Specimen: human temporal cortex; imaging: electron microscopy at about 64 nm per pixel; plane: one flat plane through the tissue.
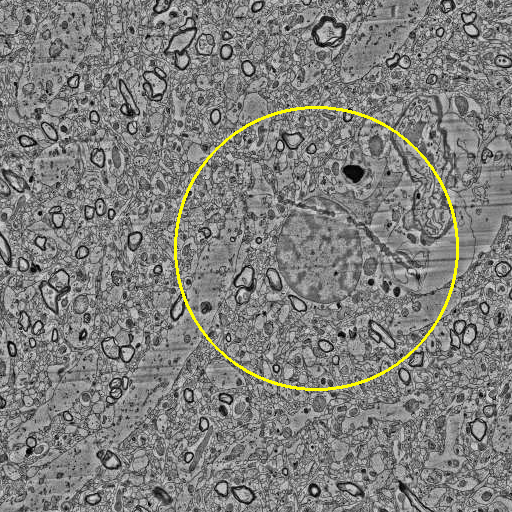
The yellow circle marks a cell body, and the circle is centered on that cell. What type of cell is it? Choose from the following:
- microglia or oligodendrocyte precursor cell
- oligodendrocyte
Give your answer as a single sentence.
This cell body belongs to an oligodendrocyte.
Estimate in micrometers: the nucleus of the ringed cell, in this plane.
About 7 micrometres by about 6 micrometres in this plane.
